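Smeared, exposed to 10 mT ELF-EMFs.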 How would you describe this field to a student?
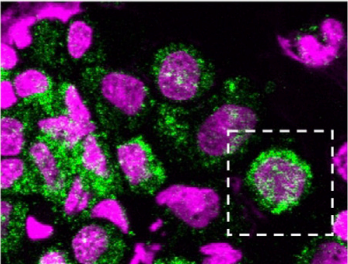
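Most cells have a single round to oval magenta nucleus with a finely granular chromatin texture; a few nuclei are smaller, denser and brighter, and some are elongated or irregular. Many cells carry a rim of granular green labelling around the nucleus, filling a thin band of cytoplasm, and in several the green dots also lie over the nucleus itself, giving a speckled mix of green and magenta. One rounded cell outlined by a dashed box shows a dense green ring encircling its nucleus with green granules over it. Other cells in the field lack green entirely.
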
